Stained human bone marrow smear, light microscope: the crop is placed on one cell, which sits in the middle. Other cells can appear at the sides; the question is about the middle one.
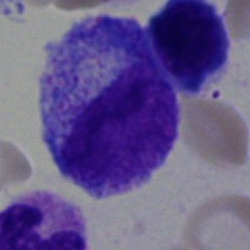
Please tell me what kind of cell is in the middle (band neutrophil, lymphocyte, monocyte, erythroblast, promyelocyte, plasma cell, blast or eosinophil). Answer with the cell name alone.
promyelocyte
